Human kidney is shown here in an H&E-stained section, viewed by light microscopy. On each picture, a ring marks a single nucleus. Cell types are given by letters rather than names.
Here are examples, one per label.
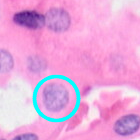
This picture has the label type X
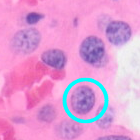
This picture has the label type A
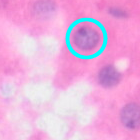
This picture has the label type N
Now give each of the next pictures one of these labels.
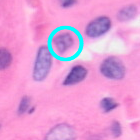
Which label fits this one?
type X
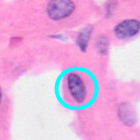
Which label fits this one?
type A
